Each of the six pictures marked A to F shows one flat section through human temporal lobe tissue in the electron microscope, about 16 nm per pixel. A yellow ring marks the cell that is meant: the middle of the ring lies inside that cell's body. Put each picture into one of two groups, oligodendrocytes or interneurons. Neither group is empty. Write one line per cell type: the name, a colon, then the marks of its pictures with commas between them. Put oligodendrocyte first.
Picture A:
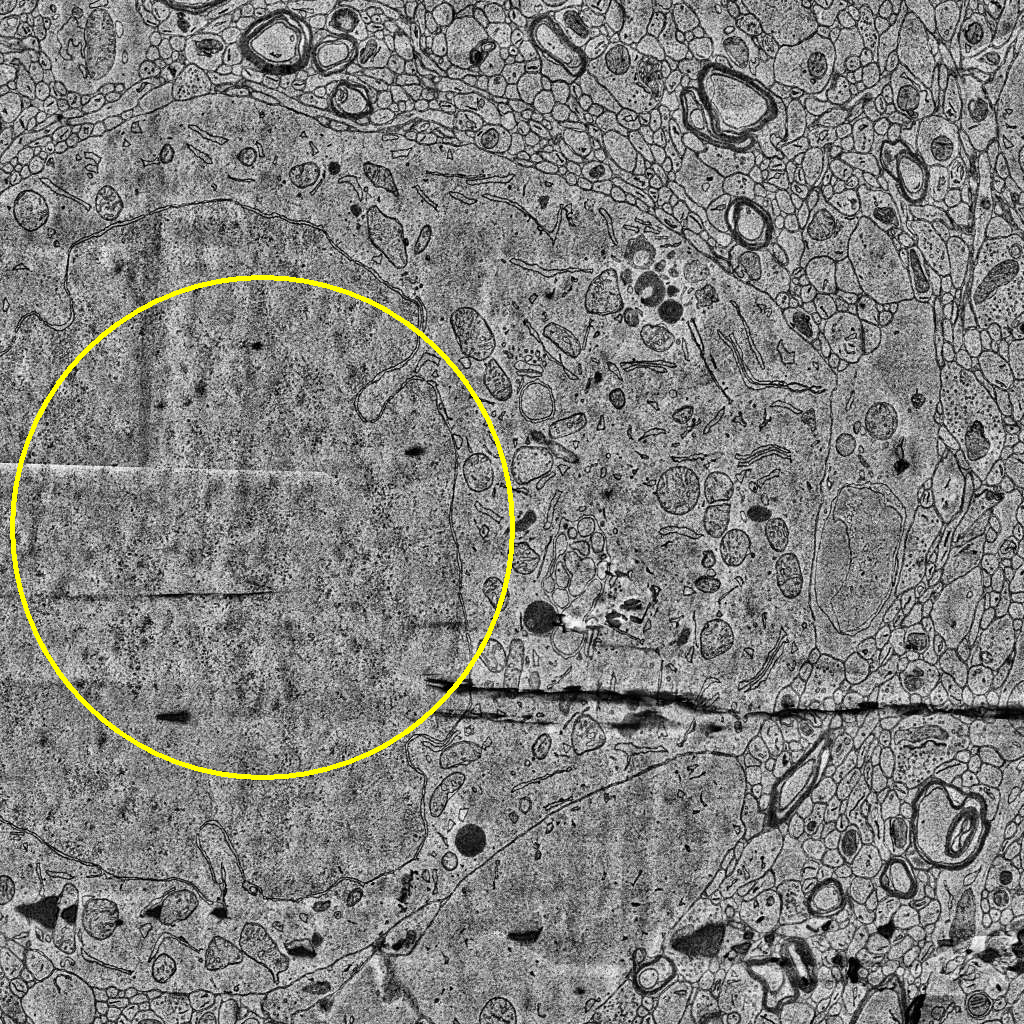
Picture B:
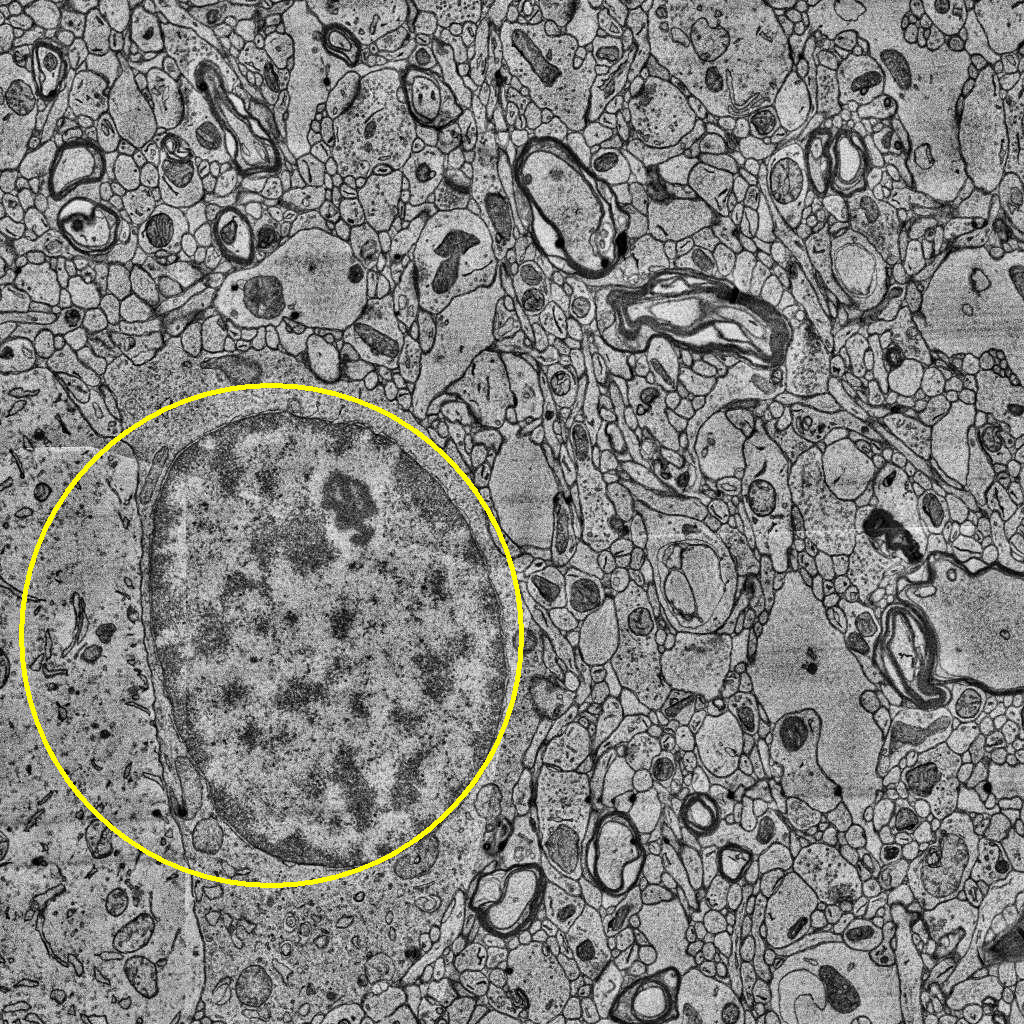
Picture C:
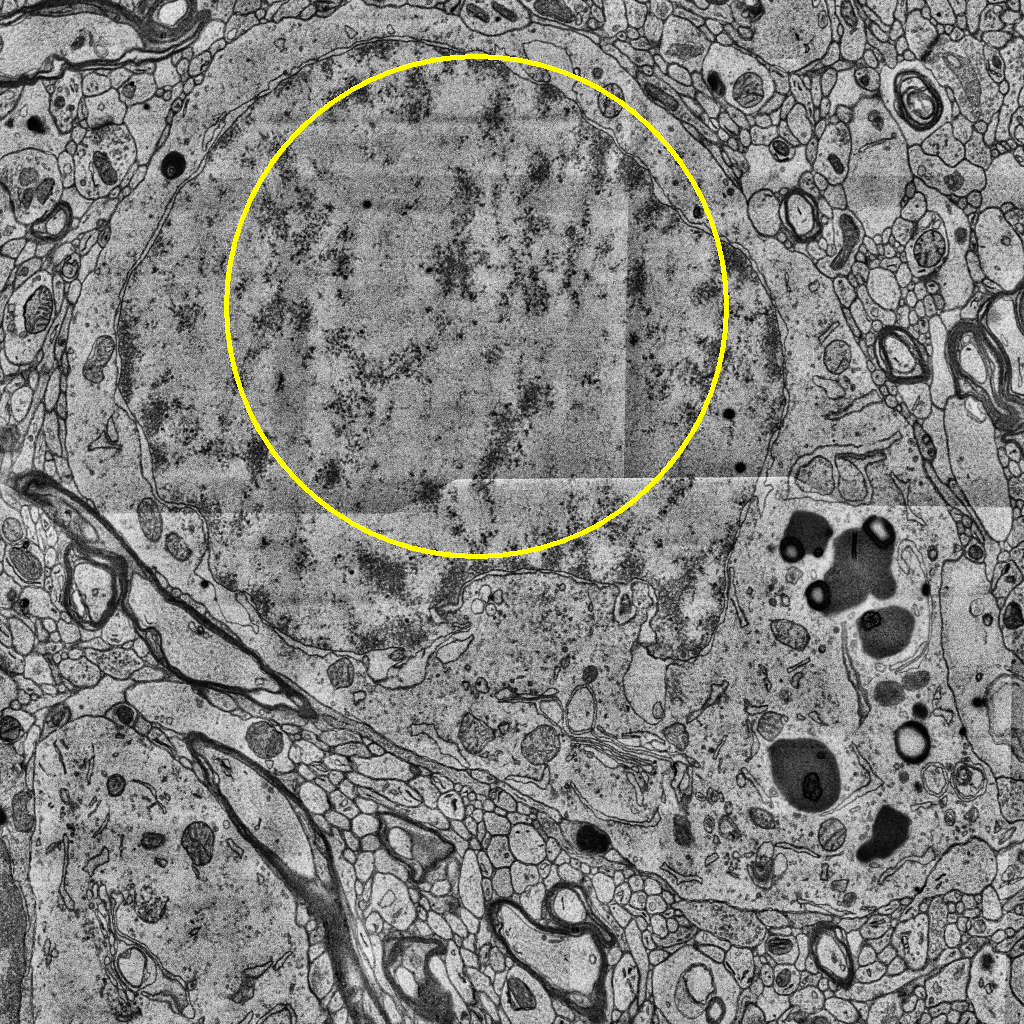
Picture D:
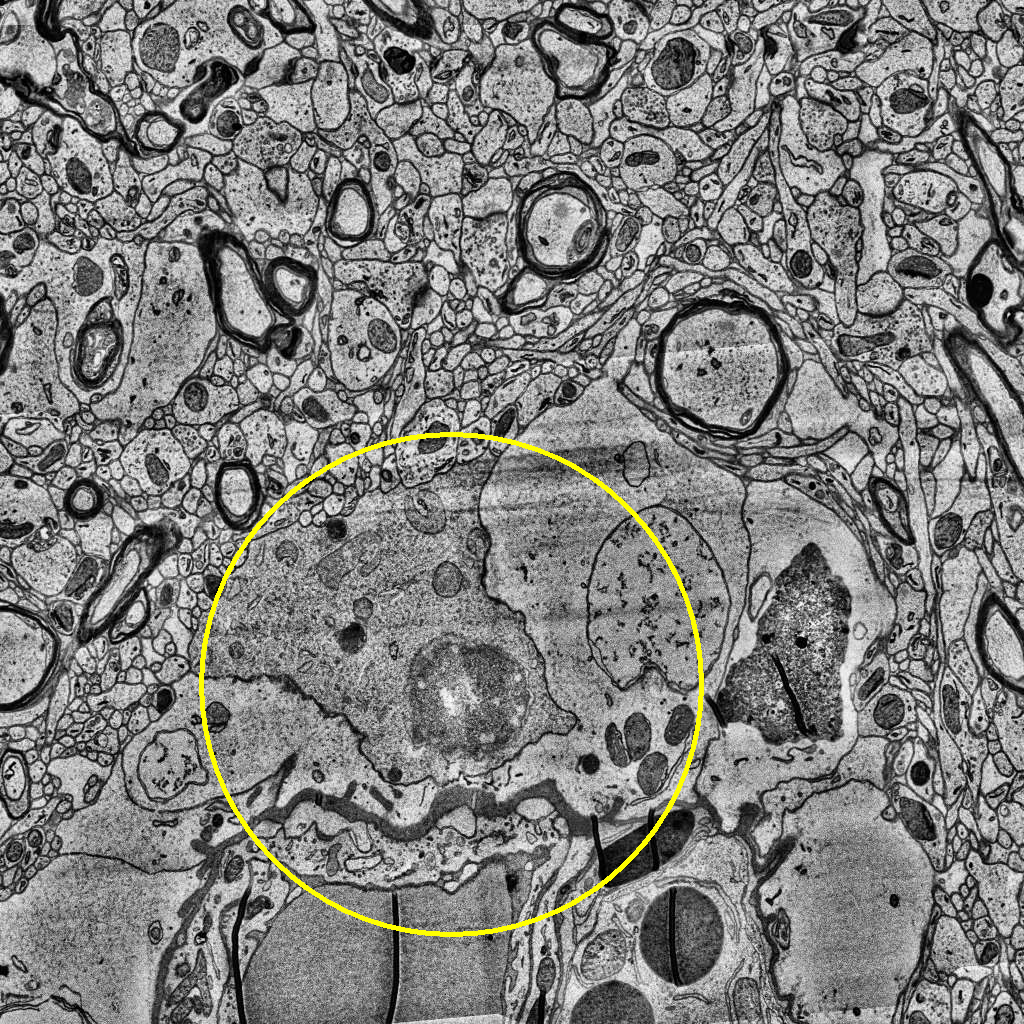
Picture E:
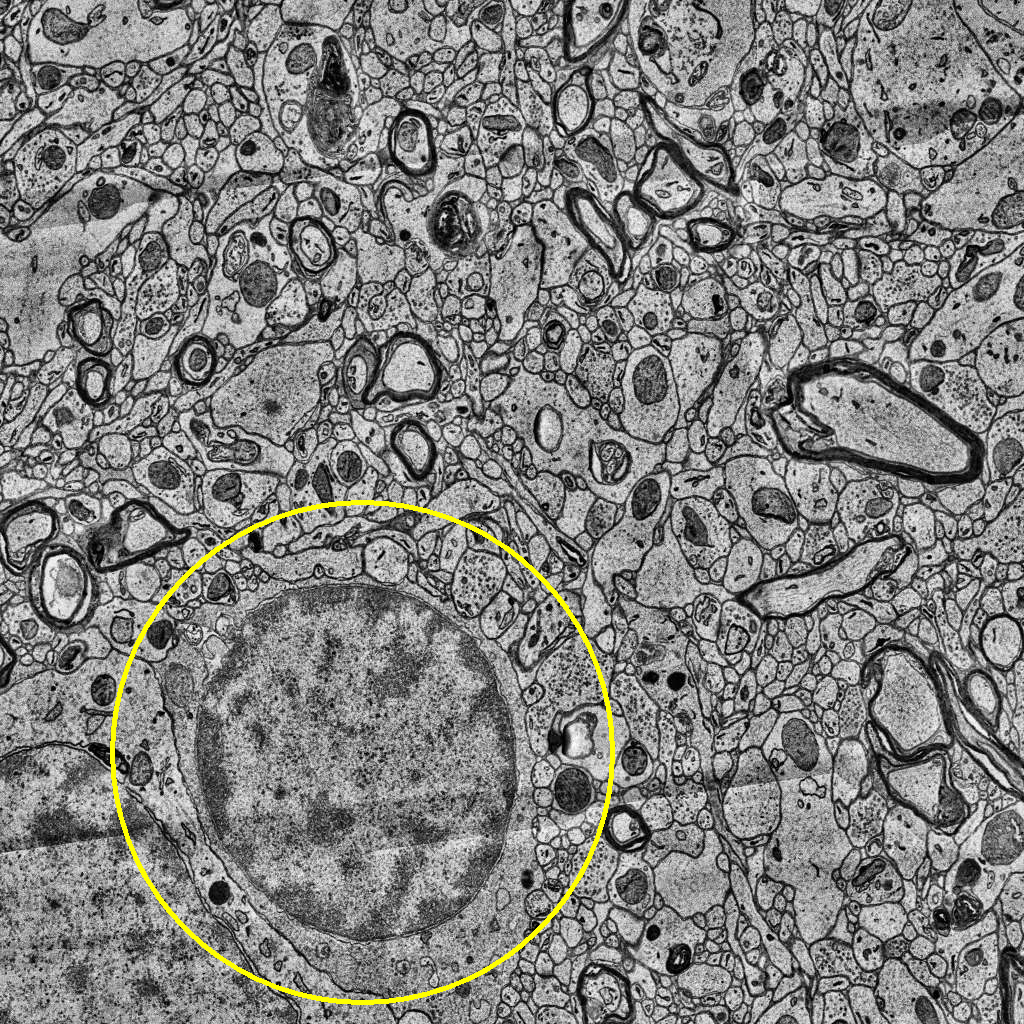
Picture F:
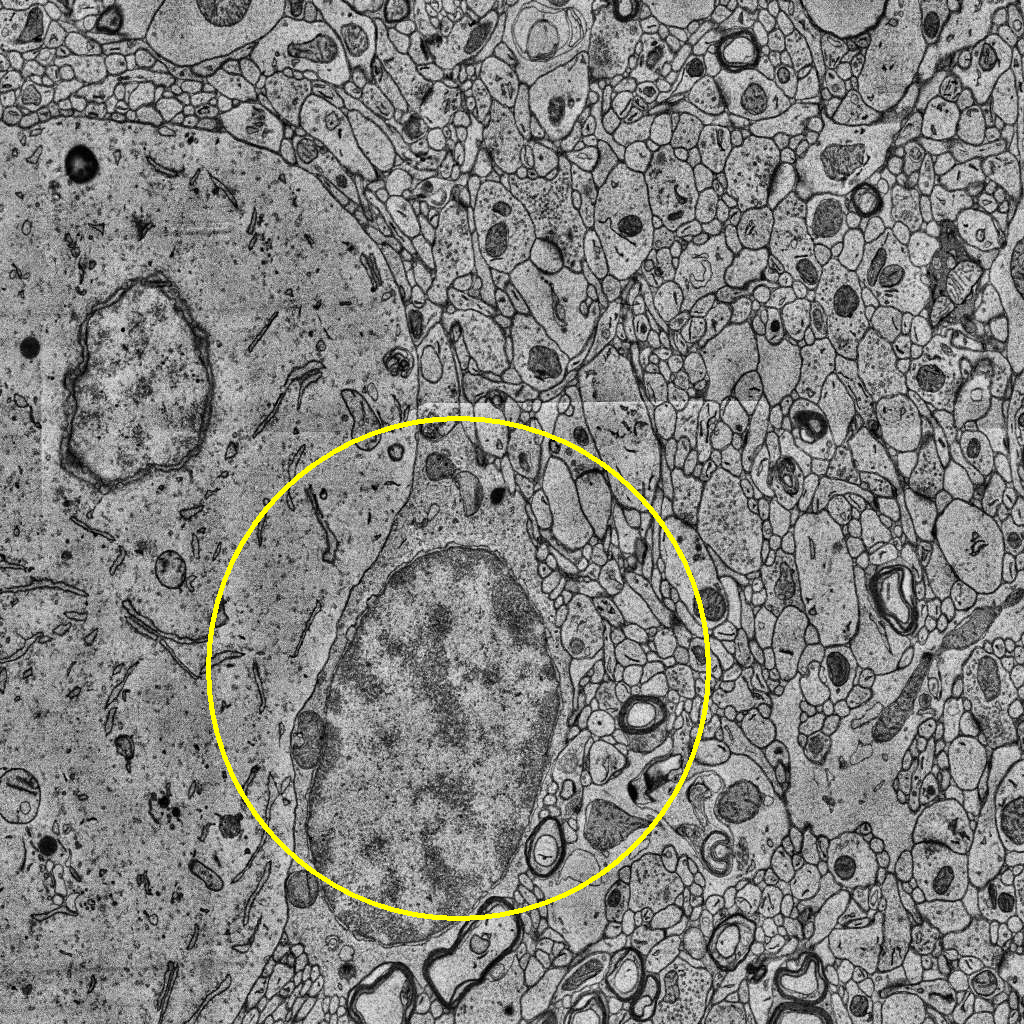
oligodendrocyte: B, D, E, F
interneuron: A, C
